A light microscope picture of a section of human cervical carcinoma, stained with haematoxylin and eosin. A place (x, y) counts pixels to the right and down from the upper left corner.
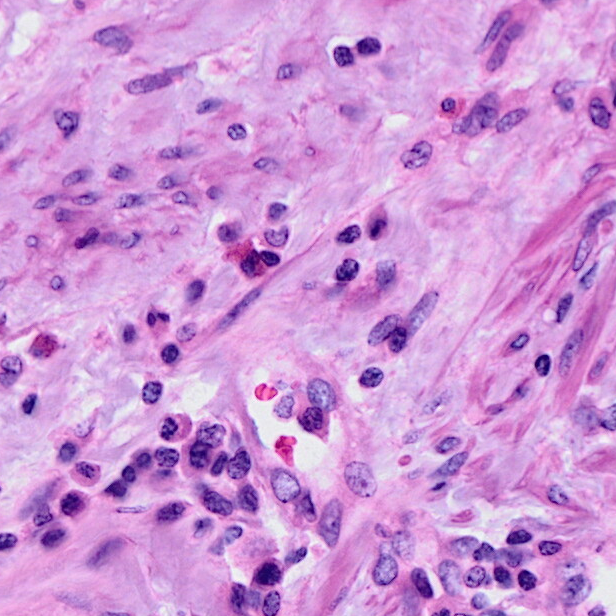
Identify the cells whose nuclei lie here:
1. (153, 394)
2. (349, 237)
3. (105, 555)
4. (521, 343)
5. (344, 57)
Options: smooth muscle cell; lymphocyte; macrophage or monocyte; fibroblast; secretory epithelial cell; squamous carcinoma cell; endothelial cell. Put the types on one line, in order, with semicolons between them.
lymphocyte; lymphocyte; fibroblast; smooth muscle cell; lymphocyte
